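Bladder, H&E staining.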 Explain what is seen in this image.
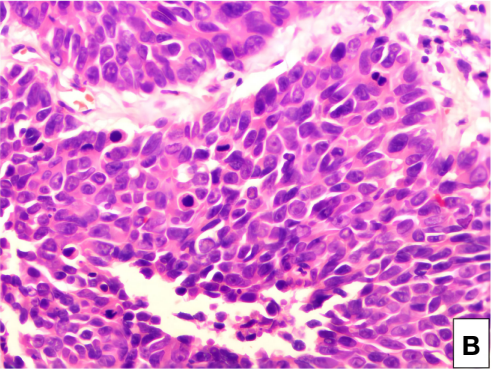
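The nuclear-to-cytoplasmic ratio is high and nuclei are crowded and overlapping. Thin bands of pale fibrous stroma run between groups of tumour cells. No normal urothelial layering is seen; the picture is one of a high-grade large-cell carcinoma.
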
